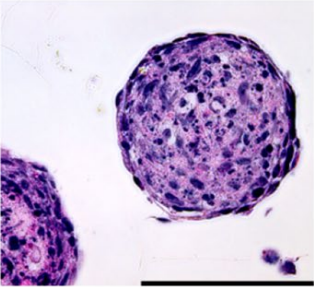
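This is a section through a small round cell spheroid whose interior stains pale lilac rather than pink. The nuclei are dark purple, varied in shape, and more spaced than in a packed core, and some look small and broken up. A thin rim of flattened cells with elongated nuclei lines the outer surface.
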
